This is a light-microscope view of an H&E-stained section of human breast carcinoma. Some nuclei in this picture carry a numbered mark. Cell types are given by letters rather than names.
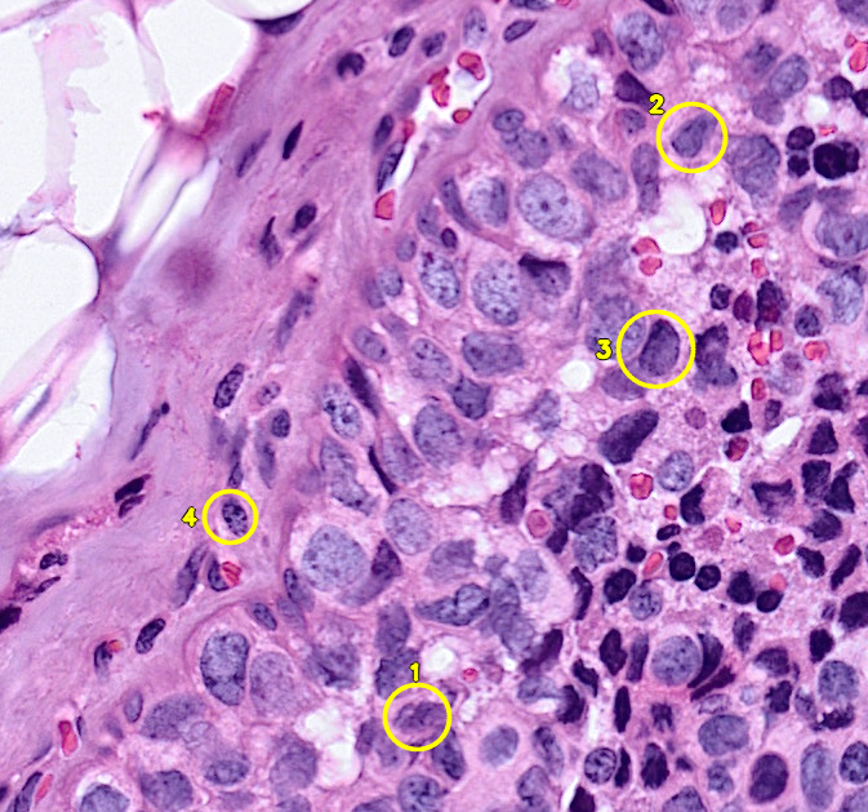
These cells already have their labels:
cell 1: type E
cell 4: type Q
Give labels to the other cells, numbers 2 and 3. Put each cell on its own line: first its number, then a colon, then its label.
2: type E
3: type E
